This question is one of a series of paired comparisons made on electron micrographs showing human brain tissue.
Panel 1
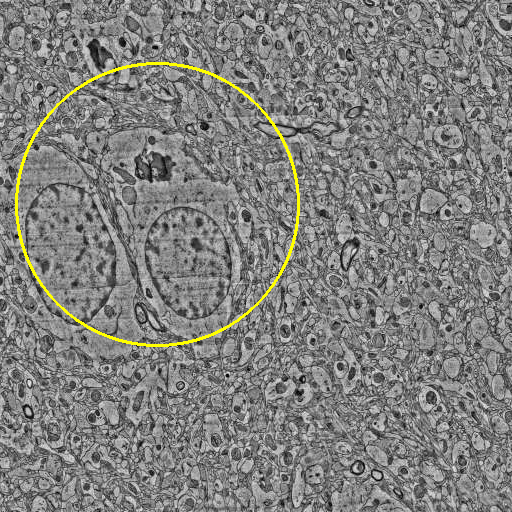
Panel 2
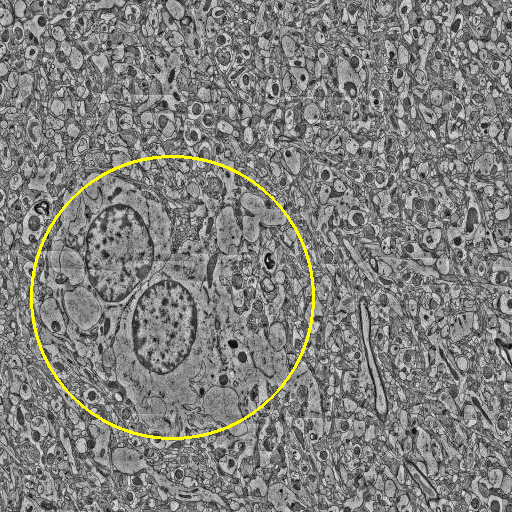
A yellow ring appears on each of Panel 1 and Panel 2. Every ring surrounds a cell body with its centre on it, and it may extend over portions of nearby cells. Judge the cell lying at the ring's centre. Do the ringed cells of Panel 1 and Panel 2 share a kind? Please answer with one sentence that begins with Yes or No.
Yes, the ring-centre cell in Panel 1 and the one in Panel 2 are of one kind.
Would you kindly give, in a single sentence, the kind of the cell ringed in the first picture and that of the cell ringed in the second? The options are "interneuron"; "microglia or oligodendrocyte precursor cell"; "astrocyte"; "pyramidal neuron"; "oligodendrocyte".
In each picture the ringed cell is an astrocyte.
